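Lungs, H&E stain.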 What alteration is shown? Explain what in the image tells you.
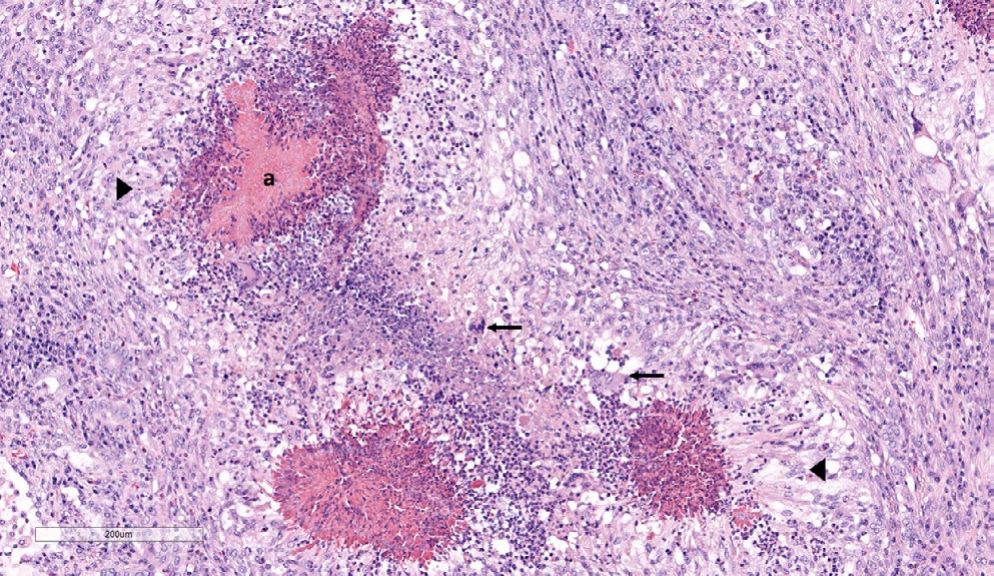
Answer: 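Pyogranulomatous inflammatory foci. Several separate foci have centres of bright pink material surrounded by dense dark-staining inflammatory cells. The foci are ringed by pale epithelioid cells and spindle-shaped cells.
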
